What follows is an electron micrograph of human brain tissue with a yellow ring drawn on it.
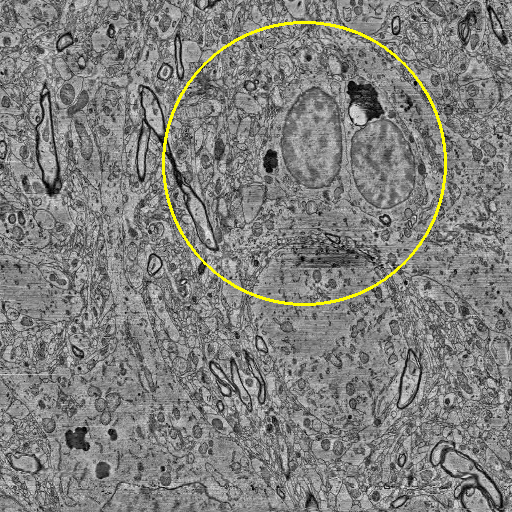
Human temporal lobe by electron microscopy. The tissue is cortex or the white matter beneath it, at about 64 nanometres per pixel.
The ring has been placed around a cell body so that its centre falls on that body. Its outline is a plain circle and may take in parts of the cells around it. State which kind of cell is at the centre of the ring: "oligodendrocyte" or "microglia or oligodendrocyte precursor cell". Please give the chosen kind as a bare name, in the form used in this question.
oligodendrocyte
